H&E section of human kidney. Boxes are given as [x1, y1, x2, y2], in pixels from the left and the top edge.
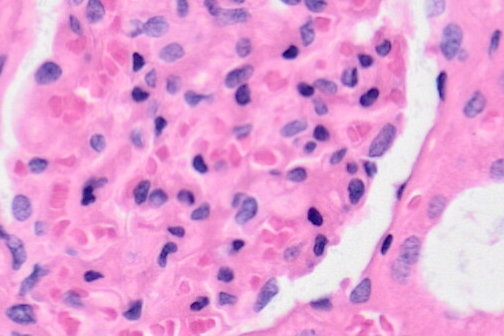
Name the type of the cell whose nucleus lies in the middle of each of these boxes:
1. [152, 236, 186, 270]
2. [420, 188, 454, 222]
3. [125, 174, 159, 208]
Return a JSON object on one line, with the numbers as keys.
{"1": "endothelial cell", "2": "loop of Henle or distal tubule cell", "3": "endothelial cell"}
